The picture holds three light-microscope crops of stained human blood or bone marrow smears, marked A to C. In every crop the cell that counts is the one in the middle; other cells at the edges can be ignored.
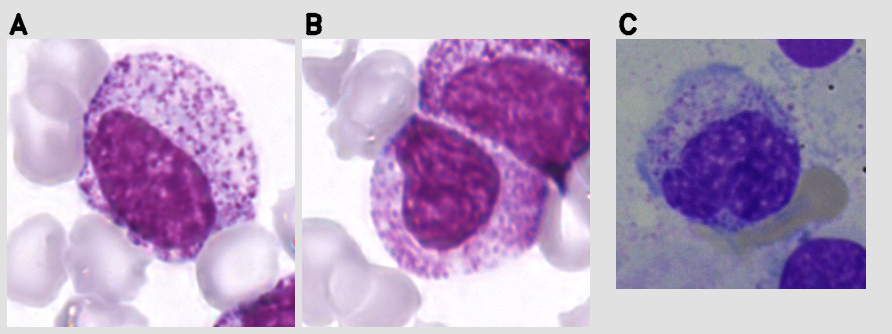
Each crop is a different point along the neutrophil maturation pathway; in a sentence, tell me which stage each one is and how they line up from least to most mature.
Reading from least to most mature, the order comes out as crop A (a myelocyte), crop C (a metamyelocyte) and crop B (a band neutrophil).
